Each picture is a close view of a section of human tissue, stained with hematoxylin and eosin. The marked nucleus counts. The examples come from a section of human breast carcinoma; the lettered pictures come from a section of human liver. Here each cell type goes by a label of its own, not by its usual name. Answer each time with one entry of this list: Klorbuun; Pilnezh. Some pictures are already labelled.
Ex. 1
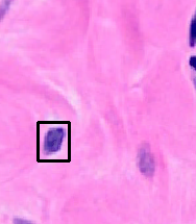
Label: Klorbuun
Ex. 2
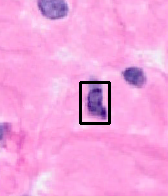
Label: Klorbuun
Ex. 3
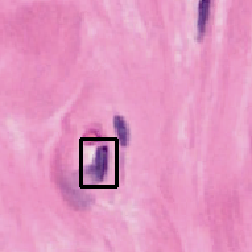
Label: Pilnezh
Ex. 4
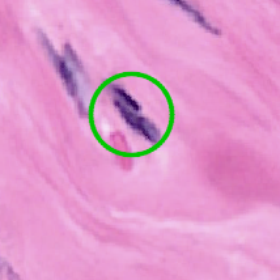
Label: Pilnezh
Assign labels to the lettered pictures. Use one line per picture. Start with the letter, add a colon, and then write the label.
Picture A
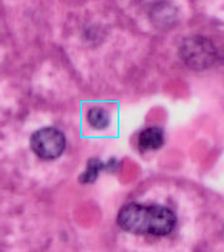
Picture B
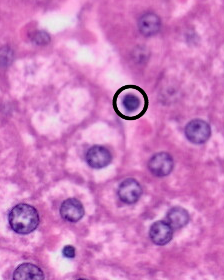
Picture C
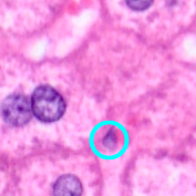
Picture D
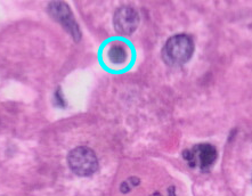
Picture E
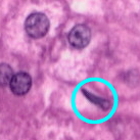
A: Klorbuun
B: Klorbuun
C: Pilnezh
D: Klorbuun
E: Pilnezh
